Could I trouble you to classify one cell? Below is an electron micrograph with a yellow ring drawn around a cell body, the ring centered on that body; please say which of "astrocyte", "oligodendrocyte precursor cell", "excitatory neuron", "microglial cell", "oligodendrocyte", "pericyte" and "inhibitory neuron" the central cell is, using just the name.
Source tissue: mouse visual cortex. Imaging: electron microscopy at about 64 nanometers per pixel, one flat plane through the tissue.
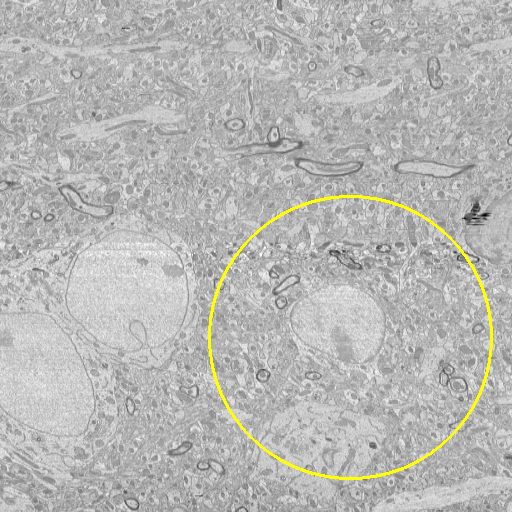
astrocyte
